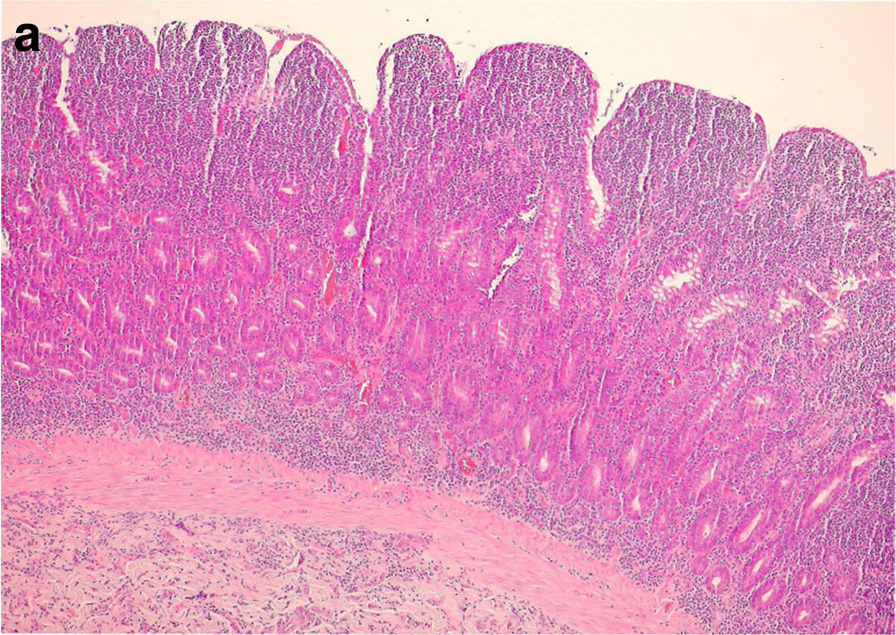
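This is full-thickness small intestinal mucosa whose villi and lamina propria are filled with a dense infiltrate of small round cells with dark purple nuclei. The infiltrate is heaviest at the villus tips, making them appear dark blue-purple, and it extends down between the pink-staining crypts to a band of smooth muscle at the base. Below the muscle band lies looser, paler submucosal tissue.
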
